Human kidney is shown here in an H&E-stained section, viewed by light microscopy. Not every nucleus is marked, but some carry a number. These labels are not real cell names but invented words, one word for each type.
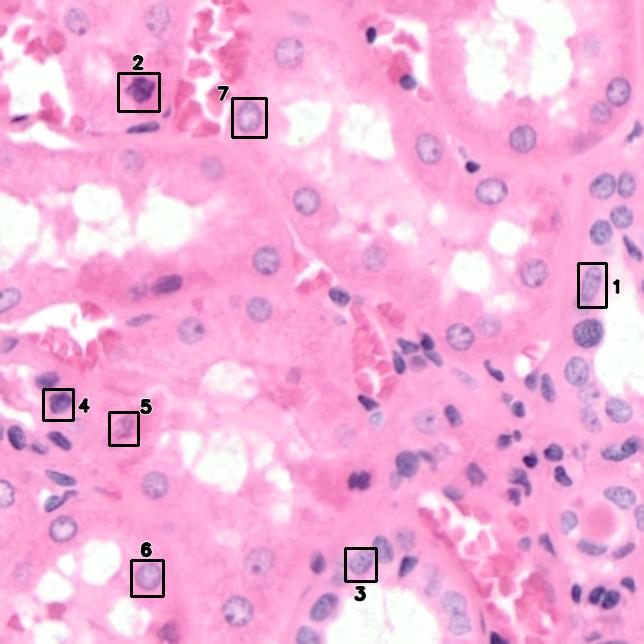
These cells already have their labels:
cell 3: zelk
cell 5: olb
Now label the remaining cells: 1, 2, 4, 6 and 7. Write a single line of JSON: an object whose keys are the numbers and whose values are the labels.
{"1": "zelk", "2": "olb", "4": "zelk", "6": "olb", "7": "olb"}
